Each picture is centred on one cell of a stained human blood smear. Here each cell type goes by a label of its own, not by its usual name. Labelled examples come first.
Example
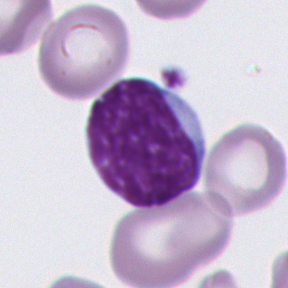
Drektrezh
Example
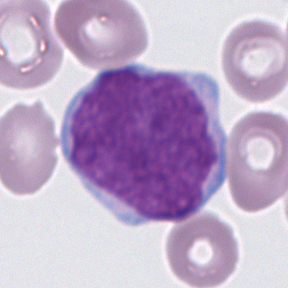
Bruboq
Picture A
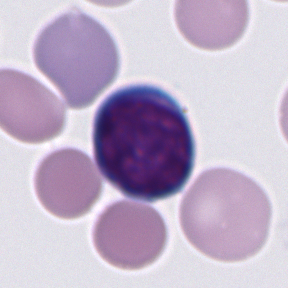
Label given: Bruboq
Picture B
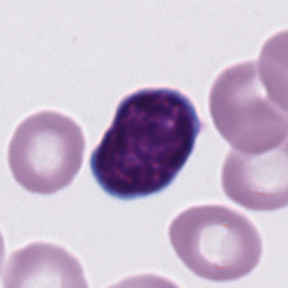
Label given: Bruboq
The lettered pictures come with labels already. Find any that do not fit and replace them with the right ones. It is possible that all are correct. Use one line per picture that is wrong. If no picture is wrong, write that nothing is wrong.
A: change Bruboq to Drektrezh
B: change Bruboq to Drektrezh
